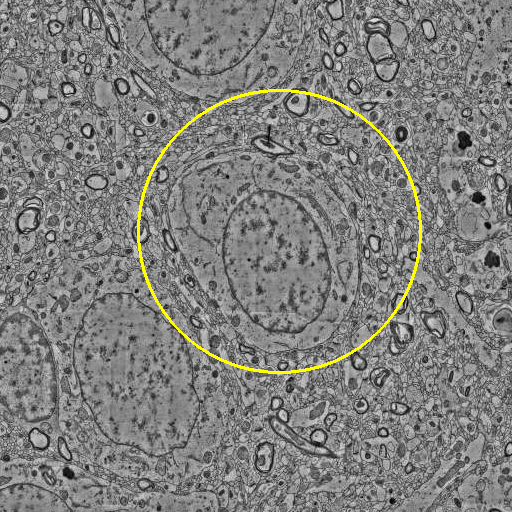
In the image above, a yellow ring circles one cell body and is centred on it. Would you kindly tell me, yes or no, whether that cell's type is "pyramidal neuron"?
yes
